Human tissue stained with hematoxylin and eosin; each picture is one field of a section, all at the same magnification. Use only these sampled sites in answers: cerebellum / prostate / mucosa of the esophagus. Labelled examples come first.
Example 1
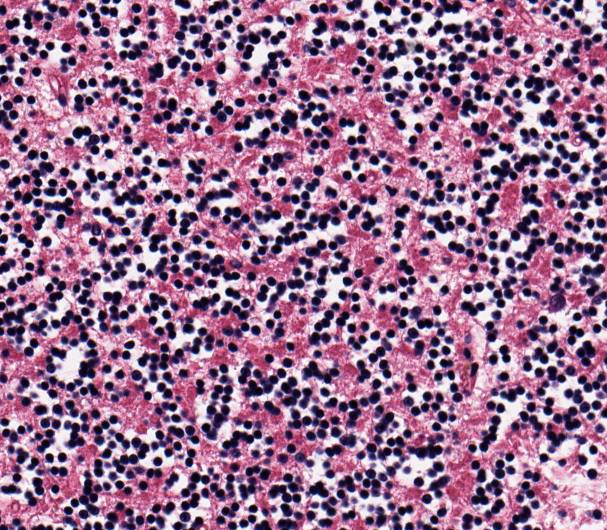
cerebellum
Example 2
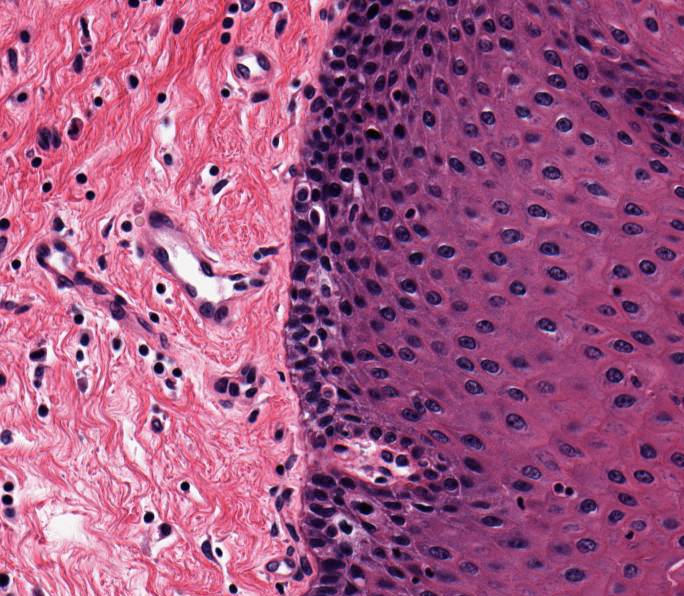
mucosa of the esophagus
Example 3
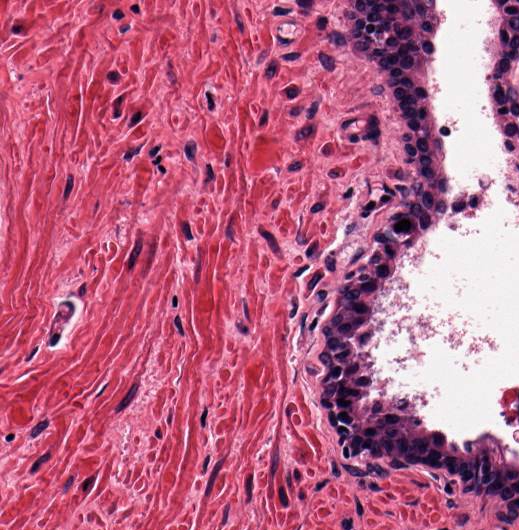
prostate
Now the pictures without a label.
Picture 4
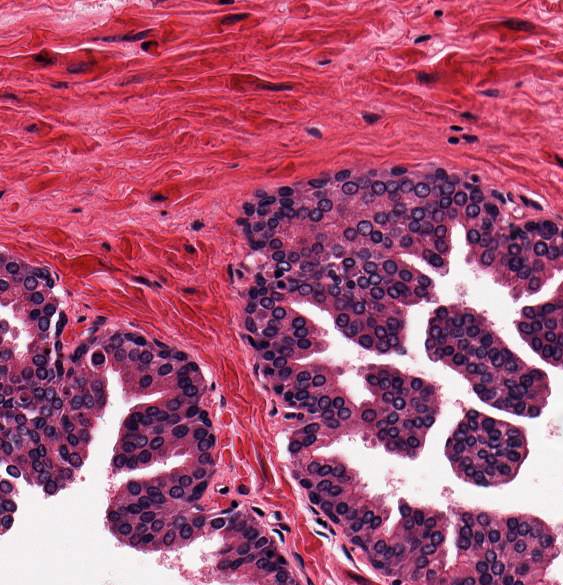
prostate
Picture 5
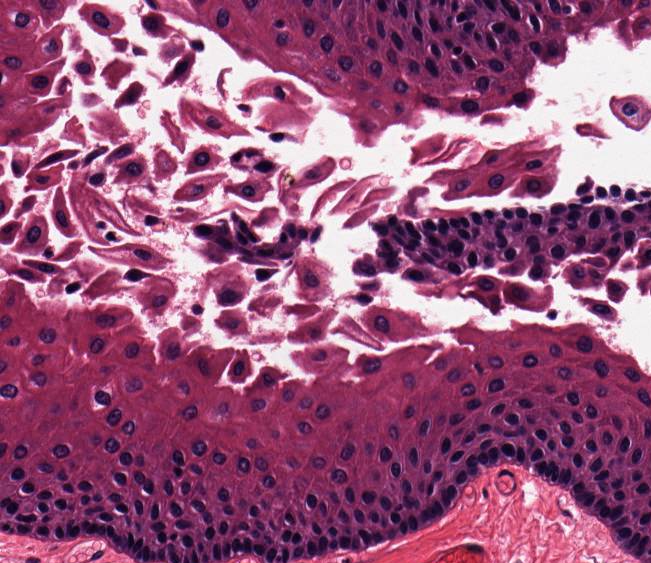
mucosa of the esophagus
